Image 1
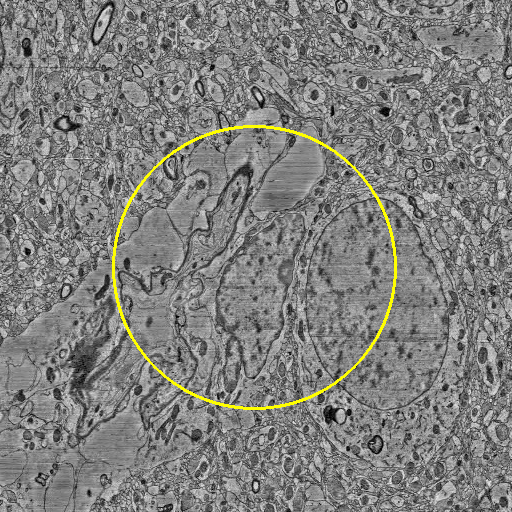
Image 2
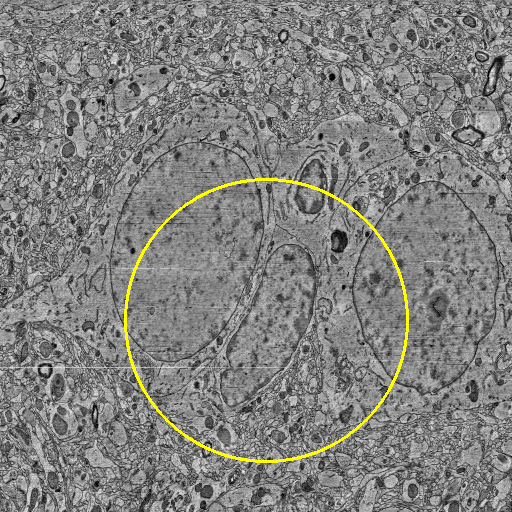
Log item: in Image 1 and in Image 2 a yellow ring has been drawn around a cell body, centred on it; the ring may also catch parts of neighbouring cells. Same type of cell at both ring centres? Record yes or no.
yes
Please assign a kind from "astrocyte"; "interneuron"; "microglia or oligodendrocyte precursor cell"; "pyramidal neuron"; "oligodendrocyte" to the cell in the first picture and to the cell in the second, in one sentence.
Each of the two cells is a microglial cell or oligodendrocyte precursor cell.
